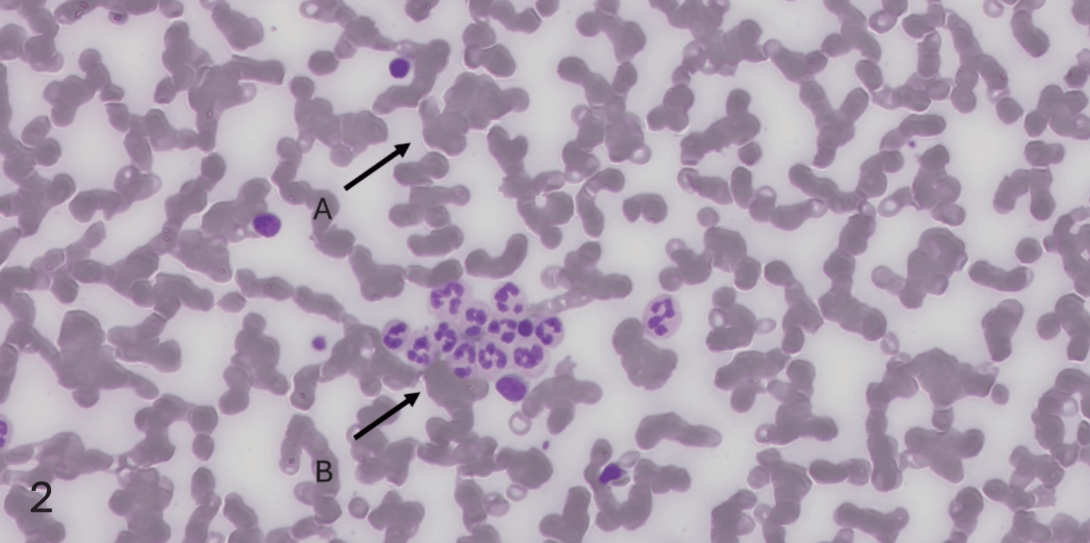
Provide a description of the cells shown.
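This blood smear shows red blood cells clumped throughout the field into irregular branching aggregates, with only a few lying free. Near the centre, neutrophils with lobed purple nuclei are packed into one cluster. A few other white cells lie singly elsewhere in the field.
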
